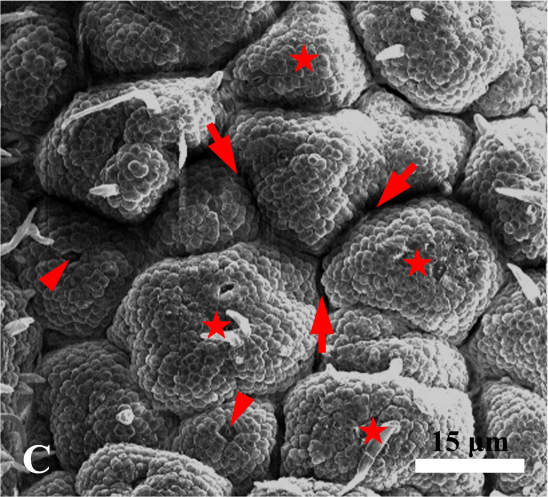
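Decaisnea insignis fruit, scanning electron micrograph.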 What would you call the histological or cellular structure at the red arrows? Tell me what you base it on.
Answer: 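Reticulated sunken regions. The arrows point into narrow depressed furrows between the bulges. The furrows join into a network around the bulges.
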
